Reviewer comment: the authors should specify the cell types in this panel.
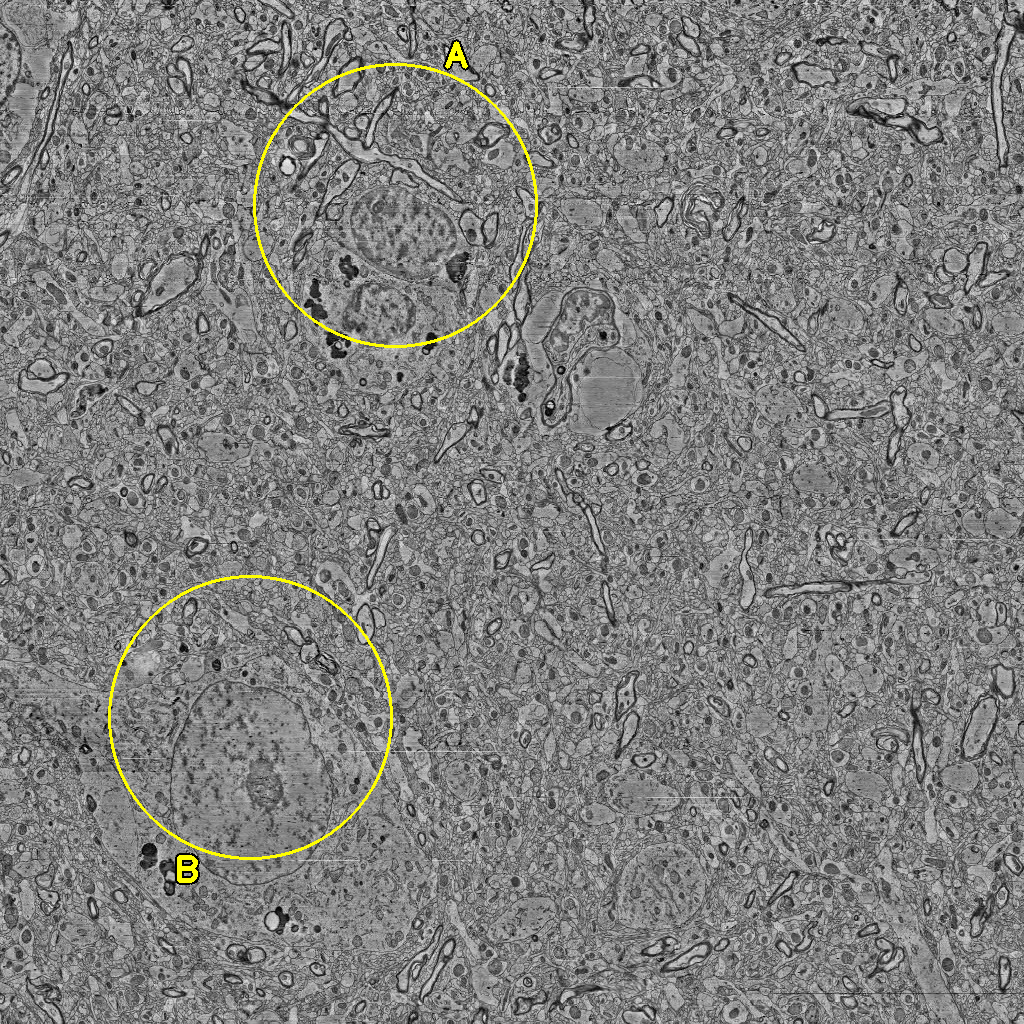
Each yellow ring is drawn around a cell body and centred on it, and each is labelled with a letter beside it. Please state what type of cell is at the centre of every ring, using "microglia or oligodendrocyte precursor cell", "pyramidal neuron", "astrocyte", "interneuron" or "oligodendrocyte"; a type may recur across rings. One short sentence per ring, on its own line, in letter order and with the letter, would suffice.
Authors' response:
The cell centred within ring A is an oligodendrocyte.
The cell centred within ring B is a pyramidal neuron.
